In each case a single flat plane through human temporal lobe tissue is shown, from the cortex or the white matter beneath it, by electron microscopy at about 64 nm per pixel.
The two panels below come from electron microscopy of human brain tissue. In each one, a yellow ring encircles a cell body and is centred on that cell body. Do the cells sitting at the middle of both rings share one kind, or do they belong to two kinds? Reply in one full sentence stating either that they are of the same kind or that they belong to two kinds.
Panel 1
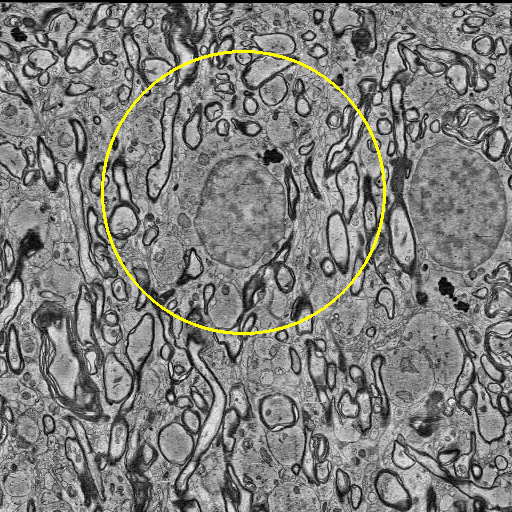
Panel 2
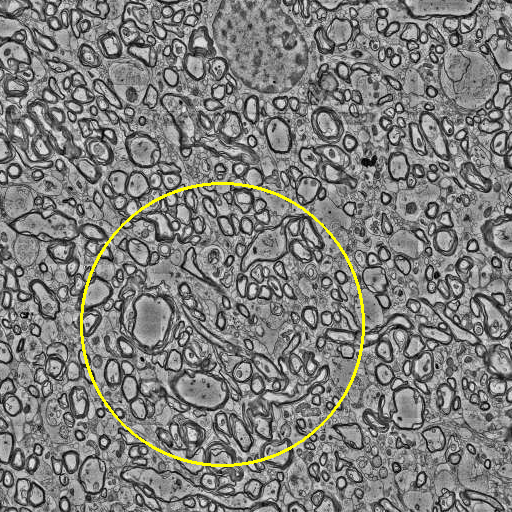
The cells at the centres of the two rings belong to two kinds.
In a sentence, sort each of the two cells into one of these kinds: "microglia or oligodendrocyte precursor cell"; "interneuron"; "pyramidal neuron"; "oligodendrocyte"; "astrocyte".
The first of the two cells is an oligodendrocyte, and the second is a microglial cell or oligodendrocyte precursor cell.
